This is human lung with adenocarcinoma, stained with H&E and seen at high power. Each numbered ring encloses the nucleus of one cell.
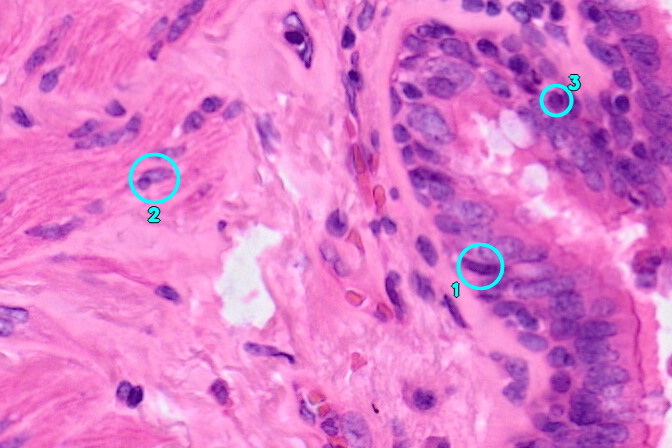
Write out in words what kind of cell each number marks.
Cell 1 is a ciliated epithelial cell, cell 2 is a smooth muscle cell or pericyte and cell 3 is a ciliated epithelial cell.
